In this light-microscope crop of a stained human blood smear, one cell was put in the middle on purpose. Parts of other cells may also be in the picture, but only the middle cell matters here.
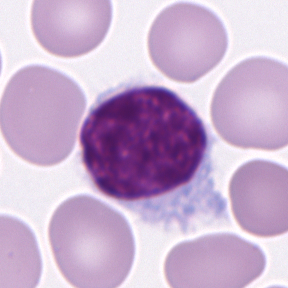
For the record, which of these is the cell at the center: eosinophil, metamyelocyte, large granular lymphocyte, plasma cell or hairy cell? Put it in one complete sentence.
Here the cell in the middle is a hairy cell.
